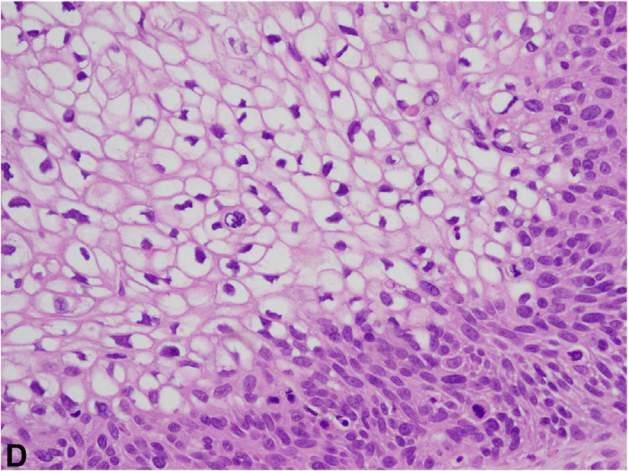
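This high-power view shows an atypical squamous epithelial proliferation made of keratinocytes, many with clear cytoplasm. The clear cells are polygonal, with pale, almost empty cytoplasm and sharply drawn pink cell borders, giving a mesh-like pattern over most of the field. Their nuclei are purple and vary in size and shape, some small and dark, others larger and irregular. Toward the lower and right edges lie more crowded cells with darker, oval nuclei and scant cytoplasm, forming a more basaloid layer. The abrupt change from these dense cells to the clear cells is visible across the field.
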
